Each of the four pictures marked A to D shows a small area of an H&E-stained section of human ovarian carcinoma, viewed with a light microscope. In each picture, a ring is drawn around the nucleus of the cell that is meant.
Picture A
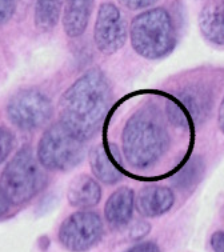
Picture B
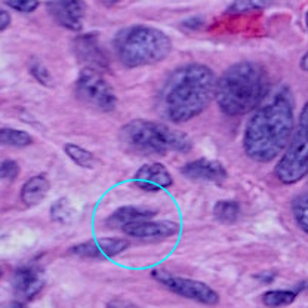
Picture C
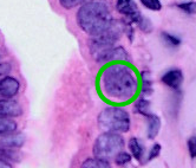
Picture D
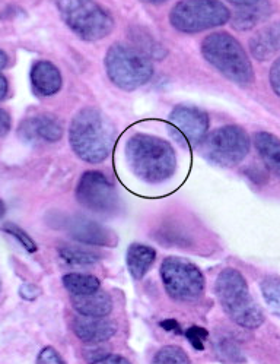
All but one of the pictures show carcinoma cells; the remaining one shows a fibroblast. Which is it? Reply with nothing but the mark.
B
